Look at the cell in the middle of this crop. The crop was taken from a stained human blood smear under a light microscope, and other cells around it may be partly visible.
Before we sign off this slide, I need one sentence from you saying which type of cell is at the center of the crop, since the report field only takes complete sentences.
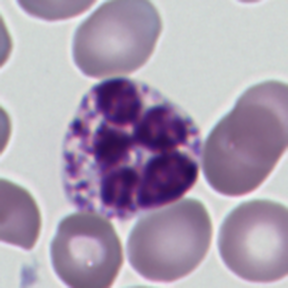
The cell positioned in the middle of the field is a basophil.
